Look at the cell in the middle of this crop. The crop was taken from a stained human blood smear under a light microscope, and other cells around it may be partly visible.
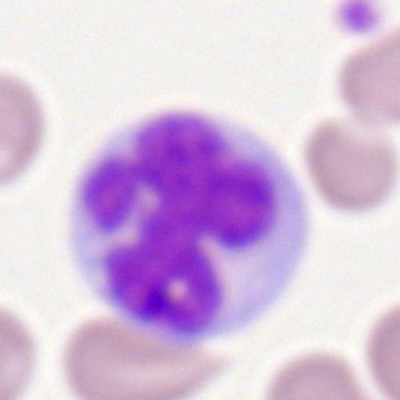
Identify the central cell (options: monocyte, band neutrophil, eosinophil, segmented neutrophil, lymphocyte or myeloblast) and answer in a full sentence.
In the centre of this crop there is a monocyte.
